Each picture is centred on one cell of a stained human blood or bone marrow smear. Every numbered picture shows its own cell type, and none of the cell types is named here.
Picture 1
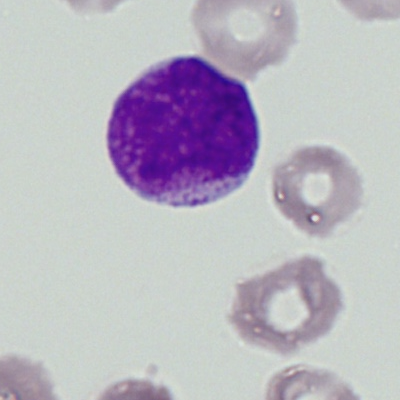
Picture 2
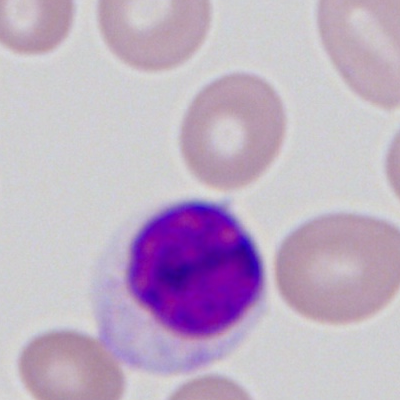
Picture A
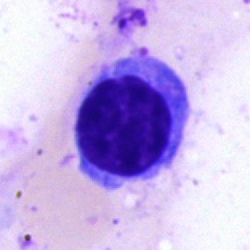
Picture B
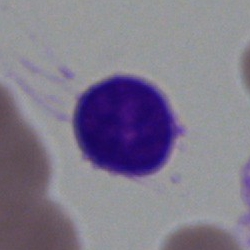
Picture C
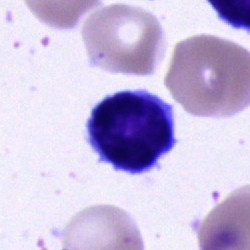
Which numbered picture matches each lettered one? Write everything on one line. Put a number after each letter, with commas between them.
A 2, B 2, C 2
